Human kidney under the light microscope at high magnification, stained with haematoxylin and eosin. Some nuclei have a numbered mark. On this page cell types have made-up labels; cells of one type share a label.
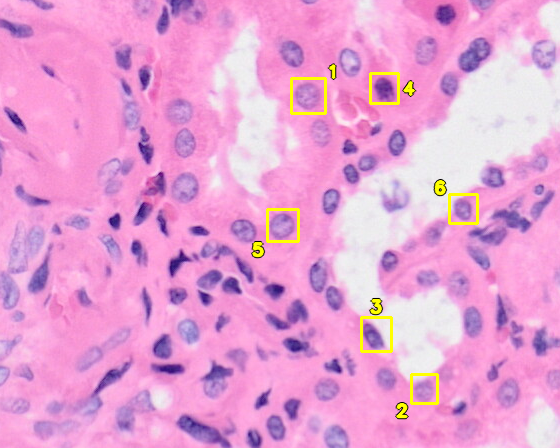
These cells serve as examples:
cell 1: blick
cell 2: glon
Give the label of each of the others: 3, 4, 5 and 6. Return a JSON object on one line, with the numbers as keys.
{"3": "glon", "4": "blick", "5": "blick", "6": "glon"}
